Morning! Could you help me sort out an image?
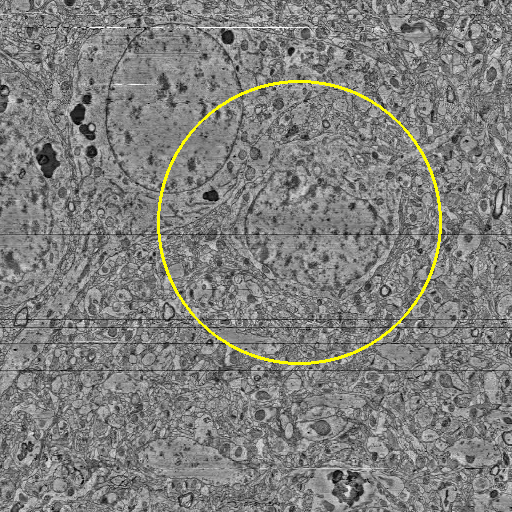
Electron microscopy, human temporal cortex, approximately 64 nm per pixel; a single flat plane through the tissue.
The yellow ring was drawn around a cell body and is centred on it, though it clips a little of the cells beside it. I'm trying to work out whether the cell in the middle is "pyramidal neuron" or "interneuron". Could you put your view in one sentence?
The ringed cell body is that of an interneuron.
